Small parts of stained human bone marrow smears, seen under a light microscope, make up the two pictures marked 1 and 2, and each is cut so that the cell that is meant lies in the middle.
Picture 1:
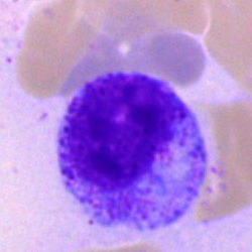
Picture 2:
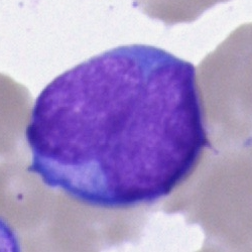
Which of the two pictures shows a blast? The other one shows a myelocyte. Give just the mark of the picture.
2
